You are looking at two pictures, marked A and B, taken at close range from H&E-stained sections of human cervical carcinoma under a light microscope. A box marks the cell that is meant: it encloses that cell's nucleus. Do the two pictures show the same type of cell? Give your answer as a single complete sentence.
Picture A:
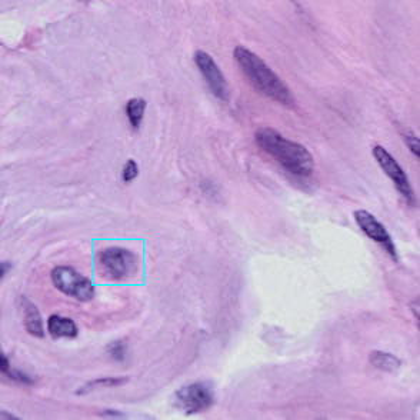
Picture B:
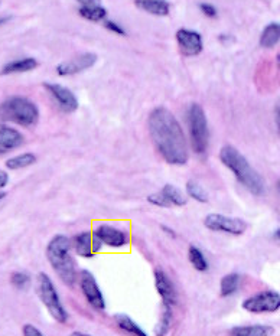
Yes, the two pictures both show endothelial cells.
